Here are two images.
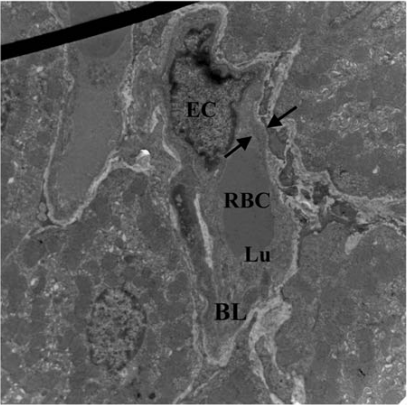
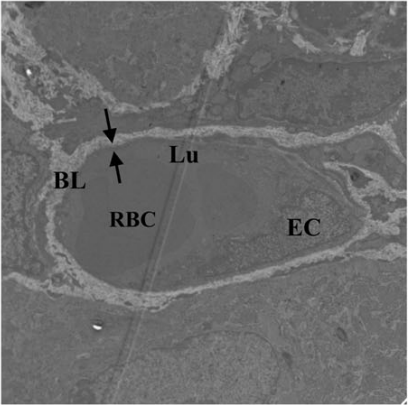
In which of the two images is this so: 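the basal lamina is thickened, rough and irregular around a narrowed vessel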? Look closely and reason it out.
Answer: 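First image: the layer around the vessel is wavy and irregular, and the lumen is narrow and elongated. Second image: the layer around the wide oval lumen runs as a fairly smooth, even band.
Conclusion: the first image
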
